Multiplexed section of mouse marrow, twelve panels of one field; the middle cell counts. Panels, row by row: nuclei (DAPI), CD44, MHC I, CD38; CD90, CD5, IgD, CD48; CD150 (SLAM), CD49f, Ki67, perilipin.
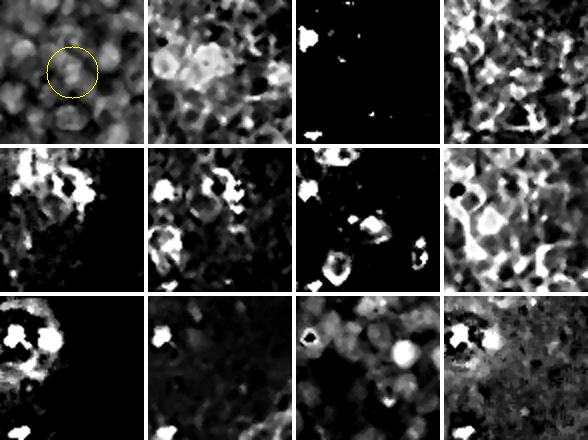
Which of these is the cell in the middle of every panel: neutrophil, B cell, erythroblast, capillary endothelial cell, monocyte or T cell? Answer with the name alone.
B cell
